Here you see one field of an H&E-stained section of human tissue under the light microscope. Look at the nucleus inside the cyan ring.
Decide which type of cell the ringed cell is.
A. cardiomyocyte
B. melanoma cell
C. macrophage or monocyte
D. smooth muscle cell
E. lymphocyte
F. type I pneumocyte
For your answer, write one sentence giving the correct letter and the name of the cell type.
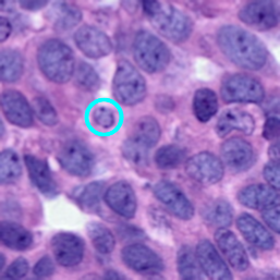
Option C is correct in stating that the ringed cell is a macrophage or monocyte.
